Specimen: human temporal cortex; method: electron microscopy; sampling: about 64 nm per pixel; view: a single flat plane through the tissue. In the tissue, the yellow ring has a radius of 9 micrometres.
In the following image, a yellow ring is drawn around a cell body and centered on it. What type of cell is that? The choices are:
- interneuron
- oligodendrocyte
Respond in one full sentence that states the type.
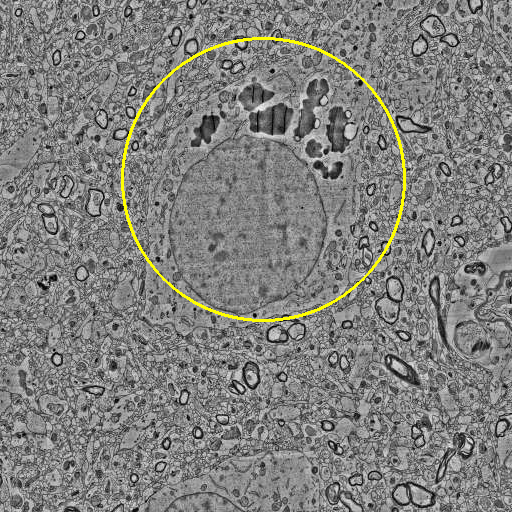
The cell at the center of the yellow ring in the image is an interneuron.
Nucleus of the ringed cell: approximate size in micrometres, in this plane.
About 11 micrometres across, as seen in this plane.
